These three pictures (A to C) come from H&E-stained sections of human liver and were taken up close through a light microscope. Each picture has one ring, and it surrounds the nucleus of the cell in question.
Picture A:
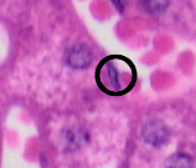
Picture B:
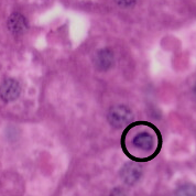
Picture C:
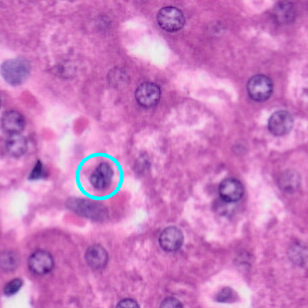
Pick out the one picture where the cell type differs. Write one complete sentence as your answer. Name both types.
The others show “fibroblasts or stellate cells”, but picture A shows an endothelial cell.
